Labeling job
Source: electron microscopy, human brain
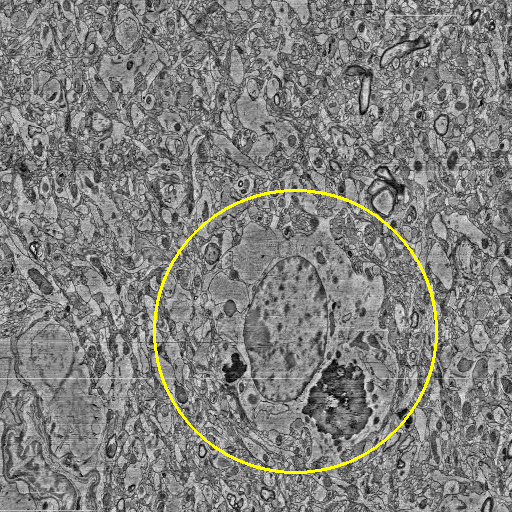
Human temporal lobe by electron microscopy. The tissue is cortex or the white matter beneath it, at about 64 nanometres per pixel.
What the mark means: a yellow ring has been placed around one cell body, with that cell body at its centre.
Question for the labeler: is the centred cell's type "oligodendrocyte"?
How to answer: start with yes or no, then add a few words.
No, its type is another one.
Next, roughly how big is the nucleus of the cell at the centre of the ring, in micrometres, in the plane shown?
Roughly 10 micrometres long and 6 micrometres wide; in this plane the nucleus is clearly longer than it is wide.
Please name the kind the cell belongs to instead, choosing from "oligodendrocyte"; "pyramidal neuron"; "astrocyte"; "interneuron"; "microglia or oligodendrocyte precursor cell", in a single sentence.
The cell at the ring centre is an astrocyte.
